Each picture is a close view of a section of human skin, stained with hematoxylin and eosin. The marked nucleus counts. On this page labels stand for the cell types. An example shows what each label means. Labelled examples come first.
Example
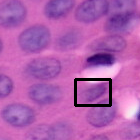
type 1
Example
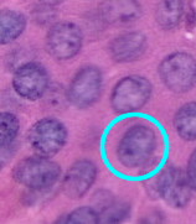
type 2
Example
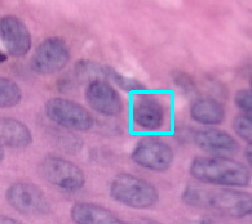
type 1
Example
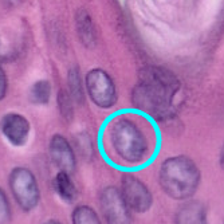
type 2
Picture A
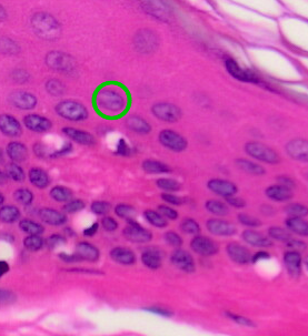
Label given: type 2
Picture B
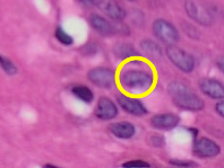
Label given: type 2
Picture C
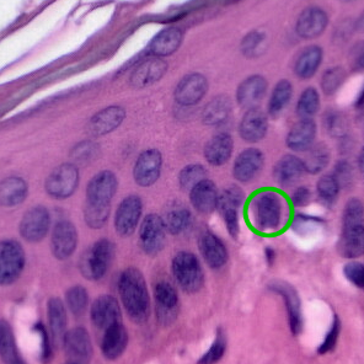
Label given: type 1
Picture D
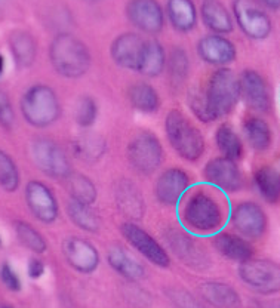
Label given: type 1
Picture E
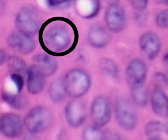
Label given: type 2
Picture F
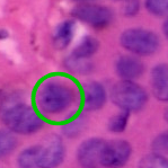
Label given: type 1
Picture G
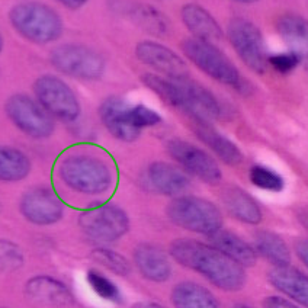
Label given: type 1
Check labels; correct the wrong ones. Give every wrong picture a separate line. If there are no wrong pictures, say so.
B is labelled type 2; correct label: type 1
G is labelled type 1; correct label: type 2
